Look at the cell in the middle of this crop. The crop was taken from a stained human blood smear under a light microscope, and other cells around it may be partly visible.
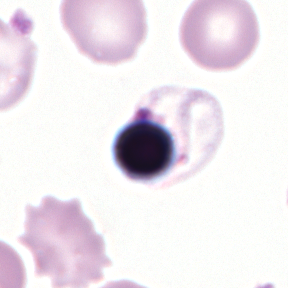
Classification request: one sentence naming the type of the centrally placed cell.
Classified as an erythroblast is the cell in the middle of this crop.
